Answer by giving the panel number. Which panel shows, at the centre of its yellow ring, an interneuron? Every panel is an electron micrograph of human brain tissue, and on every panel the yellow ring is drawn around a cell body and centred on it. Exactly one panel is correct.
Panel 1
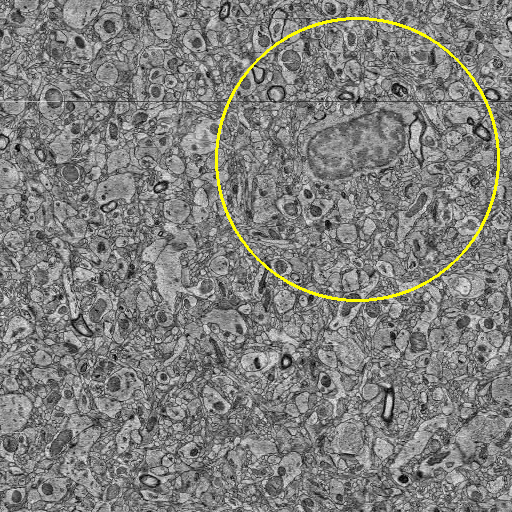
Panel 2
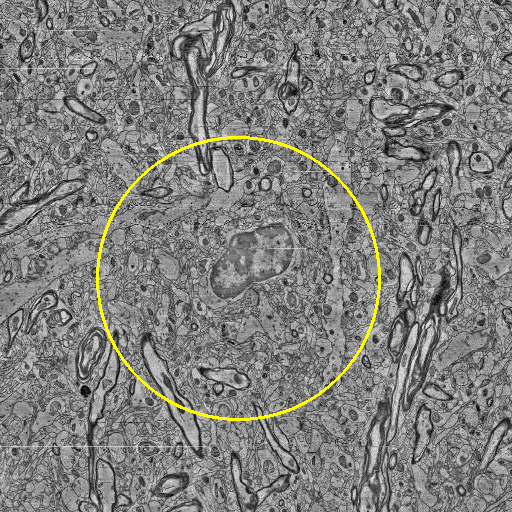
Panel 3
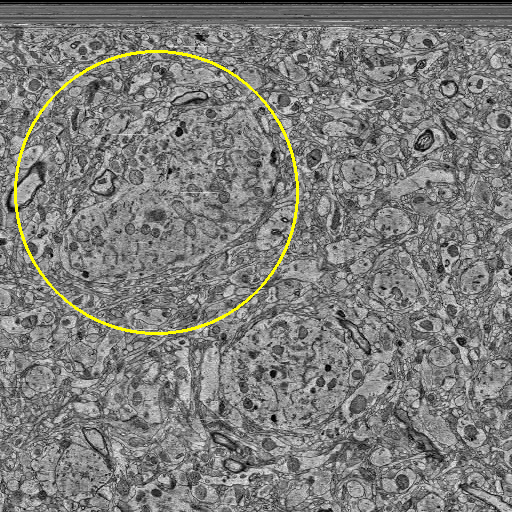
3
